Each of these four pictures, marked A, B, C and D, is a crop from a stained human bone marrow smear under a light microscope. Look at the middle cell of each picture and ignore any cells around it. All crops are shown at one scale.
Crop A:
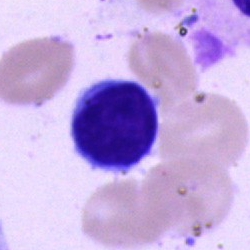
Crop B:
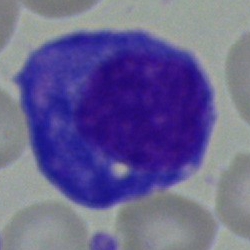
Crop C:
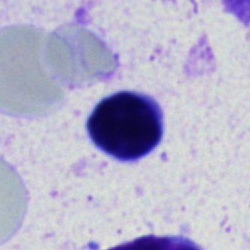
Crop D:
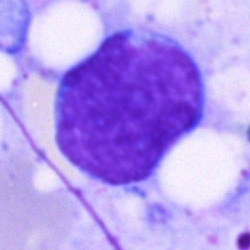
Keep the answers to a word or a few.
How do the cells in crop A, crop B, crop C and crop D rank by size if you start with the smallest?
C, A, D, B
